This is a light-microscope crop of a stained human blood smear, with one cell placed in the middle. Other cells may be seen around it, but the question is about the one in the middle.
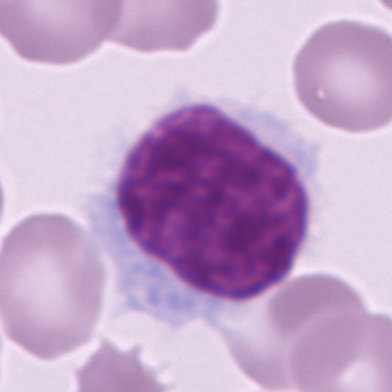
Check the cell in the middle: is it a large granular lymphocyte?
no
